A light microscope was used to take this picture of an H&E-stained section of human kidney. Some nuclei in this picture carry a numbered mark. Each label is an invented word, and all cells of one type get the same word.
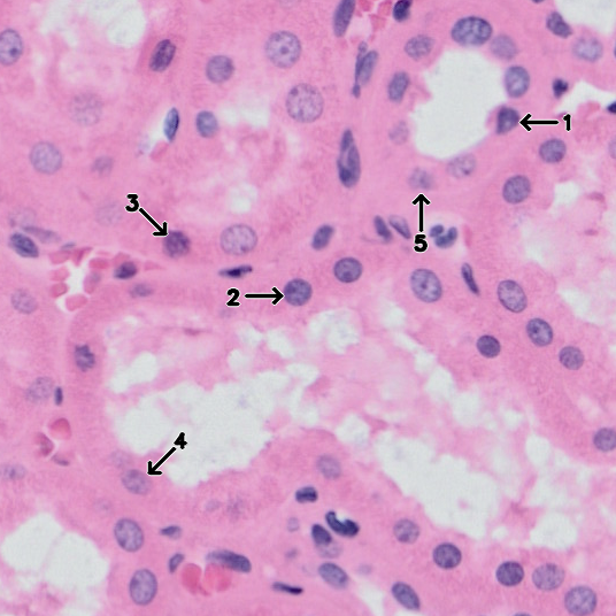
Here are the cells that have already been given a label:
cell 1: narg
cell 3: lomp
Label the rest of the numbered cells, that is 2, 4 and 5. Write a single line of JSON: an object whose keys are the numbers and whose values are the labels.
{"2": "lomp", "4": "lomp", "5": "narg"}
